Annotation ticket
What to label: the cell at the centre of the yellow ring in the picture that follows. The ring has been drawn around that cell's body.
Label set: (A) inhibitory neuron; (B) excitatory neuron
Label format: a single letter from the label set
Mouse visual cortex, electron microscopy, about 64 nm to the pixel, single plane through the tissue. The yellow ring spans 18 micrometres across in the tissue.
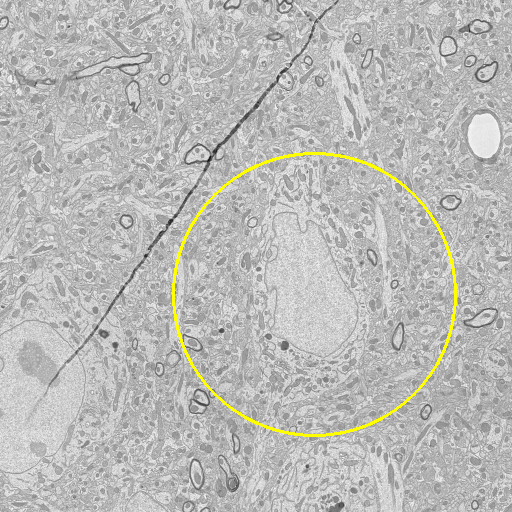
A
